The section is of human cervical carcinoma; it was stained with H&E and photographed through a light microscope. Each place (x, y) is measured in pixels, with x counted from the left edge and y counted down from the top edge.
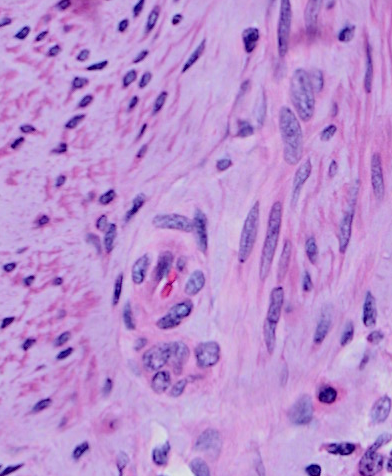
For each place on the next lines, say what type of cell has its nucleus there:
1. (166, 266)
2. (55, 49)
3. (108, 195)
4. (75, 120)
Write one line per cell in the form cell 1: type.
cell 1: endothelial cell
cell 2: smooth muscle cell
cell 3: smooth muscle cell
cell 4: smooth muscle cell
